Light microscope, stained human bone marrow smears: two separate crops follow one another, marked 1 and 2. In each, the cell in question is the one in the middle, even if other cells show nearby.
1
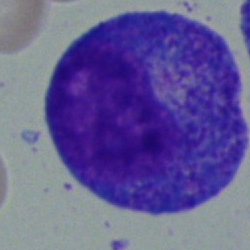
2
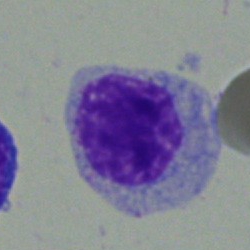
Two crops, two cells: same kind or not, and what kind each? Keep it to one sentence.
No, a promyelocyte is the subject of crop 1, and a myelocyte is the subject of crop 2.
